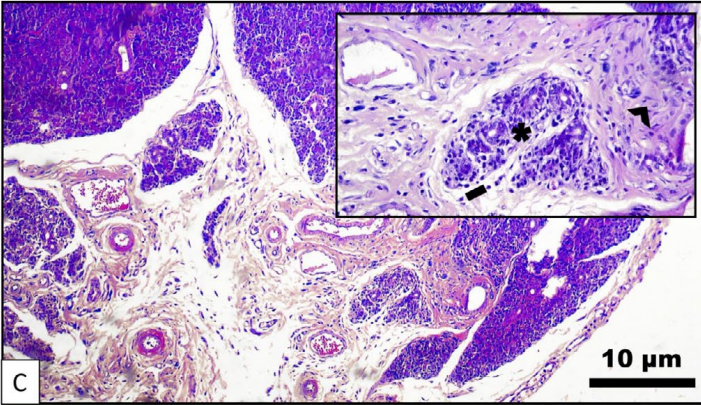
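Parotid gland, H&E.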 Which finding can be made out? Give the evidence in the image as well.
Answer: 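Interstitial fibrosis. Broad bands of pale pink fibrous connective tissue separate the purple glandular lobules. The inset shows wavy pink fibres with scattered spindle-shaped nuclei around a small cluster of glandular cells.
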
